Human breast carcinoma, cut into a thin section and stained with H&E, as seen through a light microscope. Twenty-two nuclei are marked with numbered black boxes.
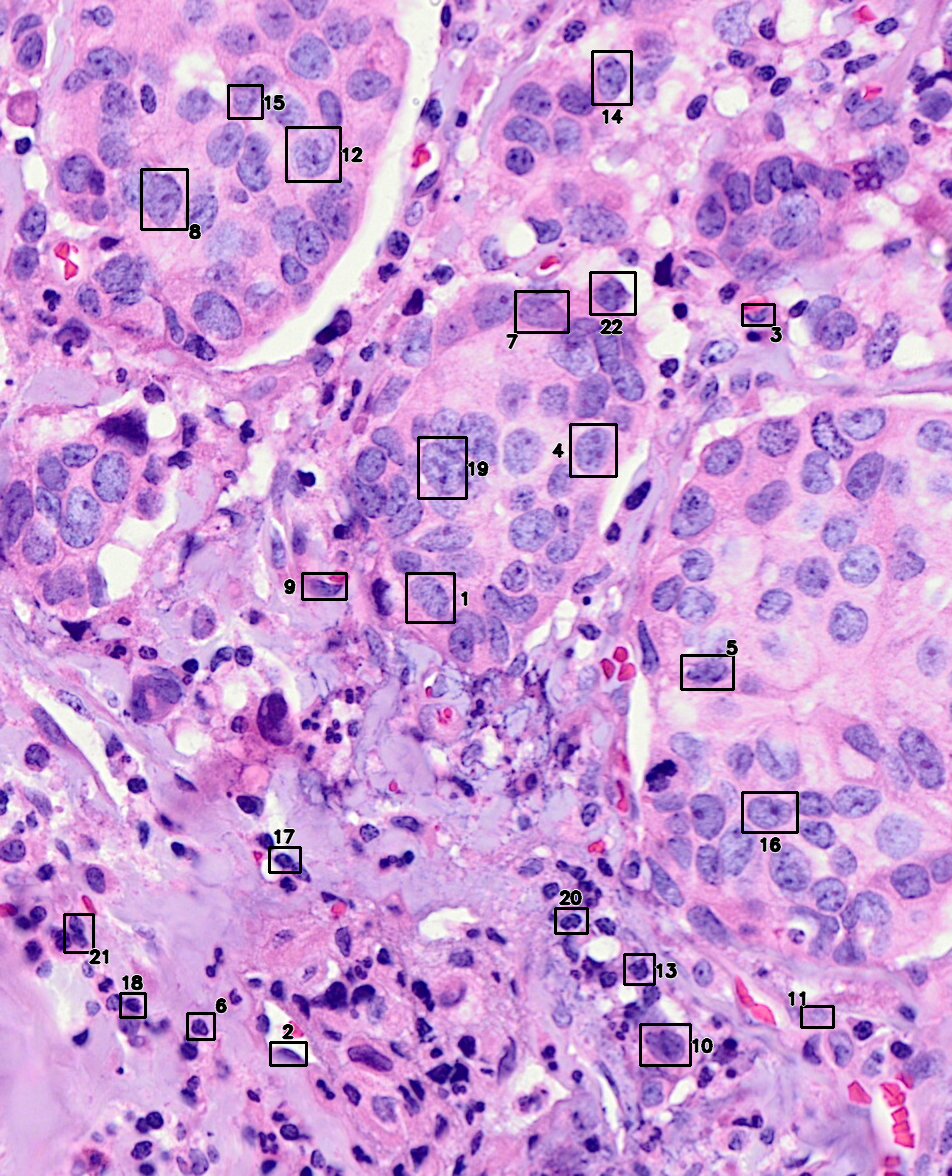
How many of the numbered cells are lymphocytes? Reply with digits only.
6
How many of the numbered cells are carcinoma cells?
12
